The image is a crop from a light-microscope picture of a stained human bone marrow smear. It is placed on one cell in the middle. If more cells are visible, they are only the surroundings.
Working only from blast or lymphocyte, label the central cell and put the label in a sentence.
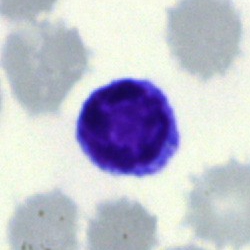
The middle of this crop holds a lymphocyte.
